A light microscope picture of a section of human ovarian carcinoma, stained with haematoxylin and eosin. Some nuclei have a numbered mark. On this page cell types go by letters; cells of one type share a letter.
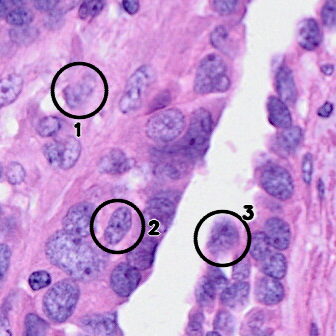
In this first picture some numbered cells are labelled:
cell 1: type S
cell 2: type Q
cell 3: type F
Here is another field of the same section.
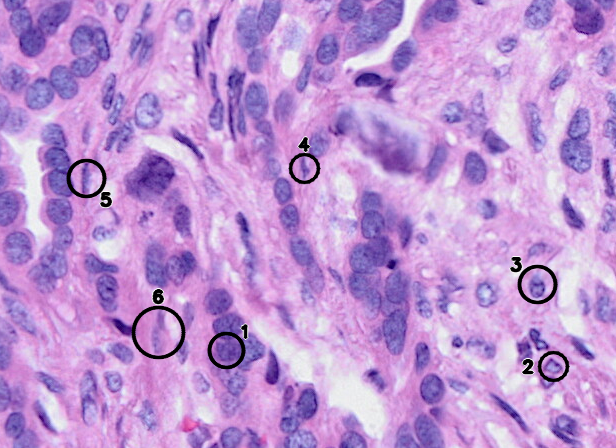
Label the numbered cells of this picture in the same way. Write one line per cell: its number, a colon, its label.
1: type F
2: type S
3: type Q
4: type S
5: type S
6: type S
